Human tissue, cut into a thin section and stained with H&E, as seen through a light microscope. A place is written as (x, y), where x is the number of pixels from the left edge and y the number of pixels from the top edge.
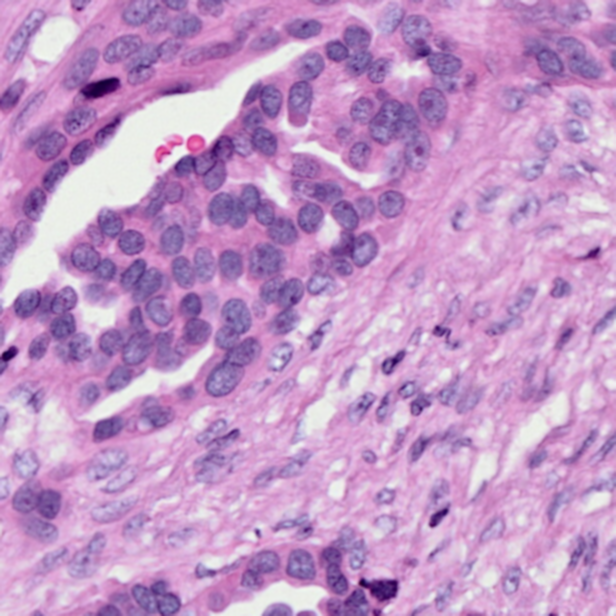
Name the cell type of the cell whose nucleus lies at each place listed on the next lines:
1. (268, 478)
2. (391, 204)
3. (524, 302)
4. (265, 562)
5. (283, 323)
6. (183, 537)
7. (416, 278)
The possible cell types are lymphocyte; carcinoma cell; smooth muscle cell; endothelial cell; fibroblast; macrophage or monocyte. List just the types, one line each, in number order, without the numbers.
fibroblast
carcinoma cell
fibroblast
carcinoma cell
carcinoma cell
fibroblast
fibroblast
